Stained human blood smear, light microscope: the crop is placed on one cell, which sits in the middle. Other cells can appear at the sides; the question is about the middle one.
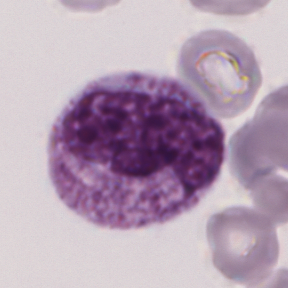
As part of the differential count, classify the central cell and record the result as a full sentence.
The middle cell in this particular crop is a metamyelocyte.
